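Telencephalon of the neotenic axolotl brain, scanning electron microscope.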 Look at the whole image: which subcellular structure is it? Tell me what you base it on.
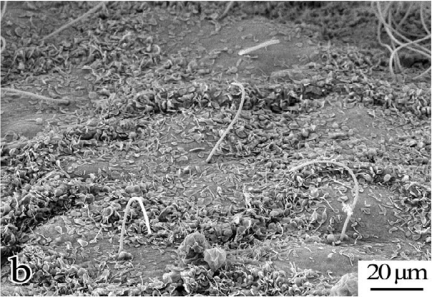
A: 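Single long, thin, curved projections rise from the surface, sparsely spaced. The surface between them bears only short knobby projections. So: primary cilium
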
